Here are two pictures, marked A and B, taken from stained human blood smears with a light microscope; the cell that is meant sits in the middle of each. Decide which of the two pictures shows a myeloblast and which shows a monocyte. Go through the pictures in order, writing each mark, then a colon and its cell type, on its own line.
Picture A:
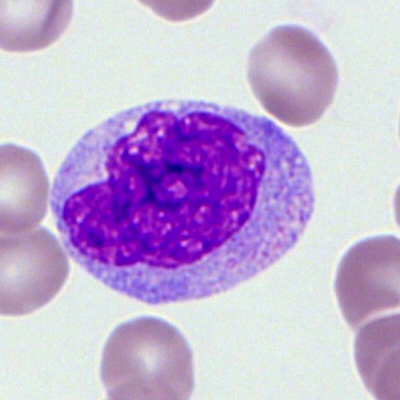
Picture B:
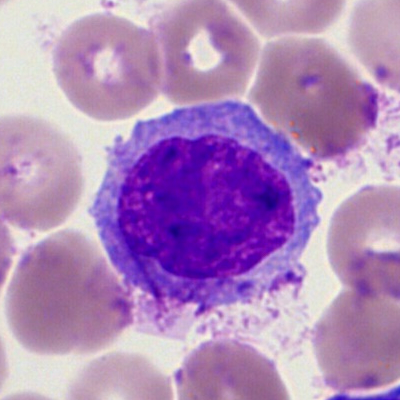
A: monocyte
B: myeloblast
